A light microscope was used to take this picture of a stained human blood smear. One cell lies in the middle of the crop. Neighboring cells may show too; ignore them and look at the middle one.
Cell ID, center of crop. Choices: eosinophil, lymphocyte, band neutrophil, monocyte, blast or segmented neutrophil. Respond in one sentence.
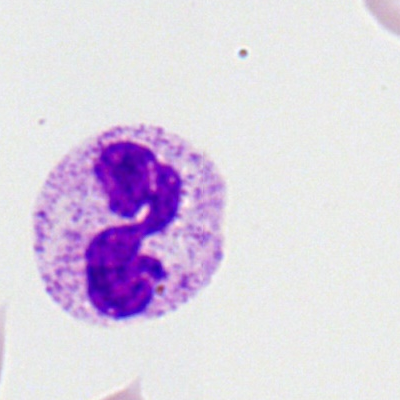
Whatever else lies nearby, the middle cell is a segmented neutrophil.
